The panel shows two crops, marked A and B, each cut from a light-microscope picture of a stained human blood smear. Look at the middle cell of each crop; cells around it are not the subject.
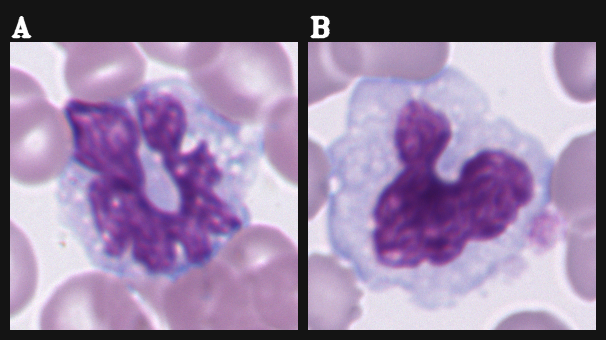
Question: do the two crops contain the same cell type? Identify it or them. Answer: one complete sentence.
Yes, as for both crops, the cells shown are monocytes.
